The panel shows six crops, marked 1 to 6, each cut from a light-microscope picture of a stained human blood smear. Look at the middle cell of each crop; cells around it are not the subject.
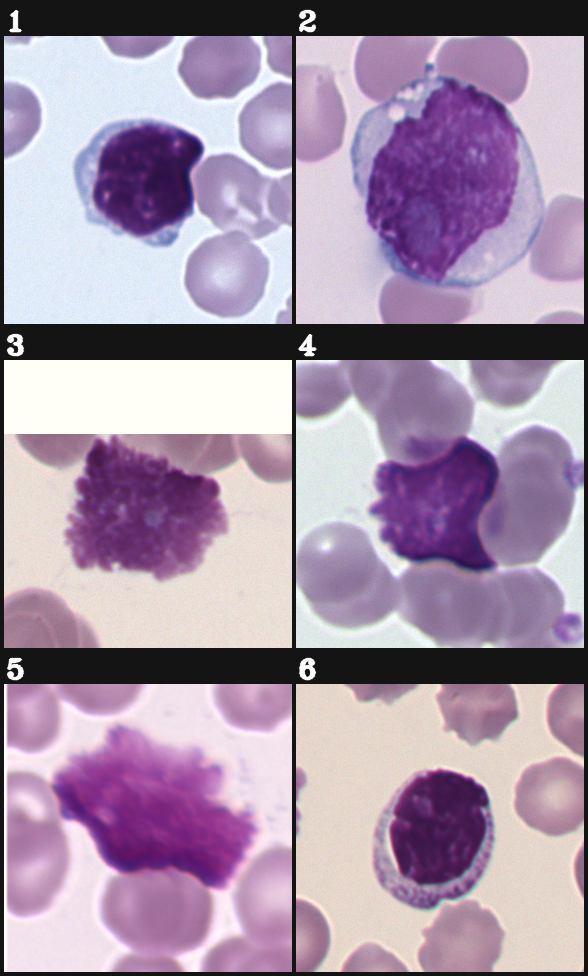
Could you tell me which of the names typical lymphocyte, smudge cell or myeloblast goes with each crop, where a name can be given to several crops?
1: typical lymphocyte
2: myeloblast
3: smudge cell
4: smudge cell
5: smudge cell
6: typical lymphocyte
